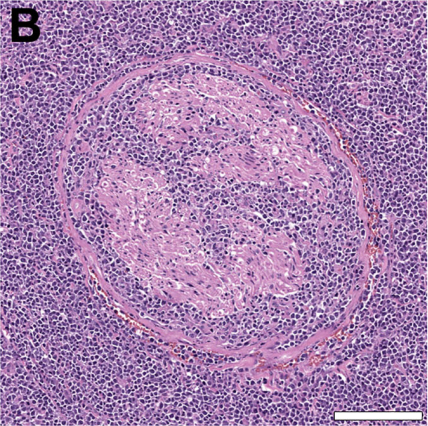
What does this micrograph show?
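Here a nerve fascicle is seen in cross section, surrounded by a highly cellular tumor. The fascicle is a round bundle of pale pink, wavy nerve tissue enclosed by a thin concentric pink sheath. Outside it, densely packed small dark round cells fill the field, and the same cells have also crept into the fascicle between its pink fibres.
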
